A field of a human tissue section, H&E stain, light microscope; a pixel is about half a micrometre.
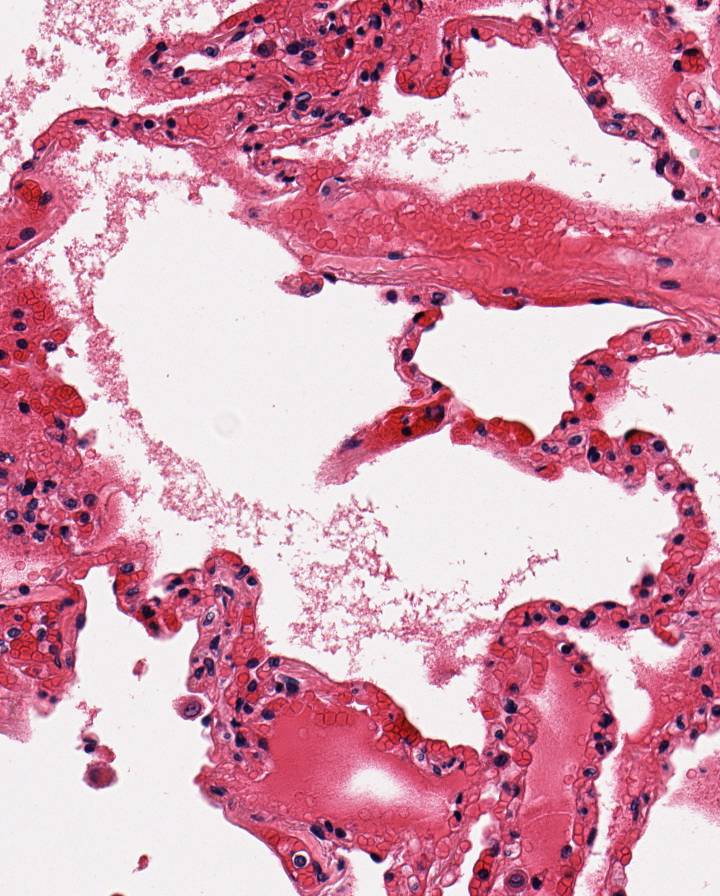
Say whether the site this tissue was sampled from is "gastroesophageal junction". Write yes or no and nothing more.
no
